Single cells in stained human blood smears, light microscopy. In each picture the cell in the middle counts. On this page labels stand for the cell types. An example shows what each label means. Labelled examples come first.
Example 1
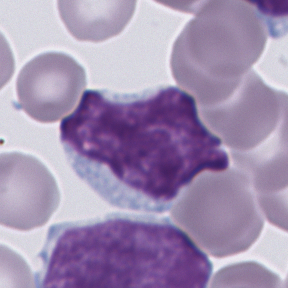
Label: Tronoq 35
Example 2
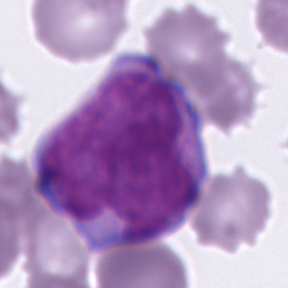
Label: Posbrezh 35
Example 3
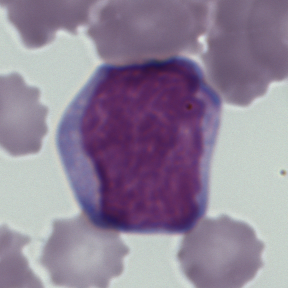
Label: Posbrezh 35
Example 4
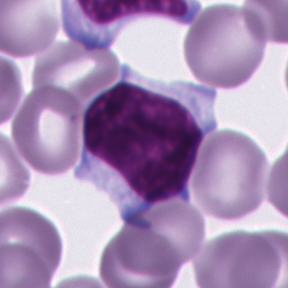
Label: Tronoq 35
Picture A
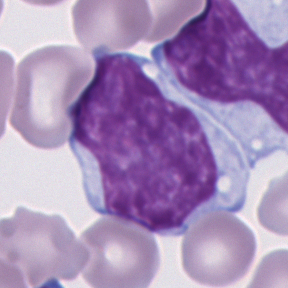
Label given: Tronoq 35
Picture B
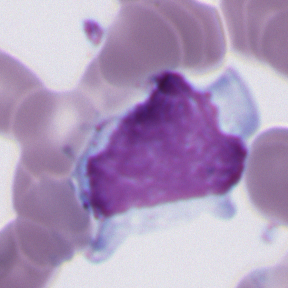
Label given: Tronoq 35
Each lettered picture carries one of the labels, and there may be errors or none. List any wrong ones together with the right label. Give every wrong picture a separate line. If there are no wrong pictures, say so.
A should be Posbrezh 35, not Tronoq 35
